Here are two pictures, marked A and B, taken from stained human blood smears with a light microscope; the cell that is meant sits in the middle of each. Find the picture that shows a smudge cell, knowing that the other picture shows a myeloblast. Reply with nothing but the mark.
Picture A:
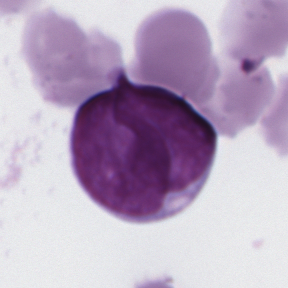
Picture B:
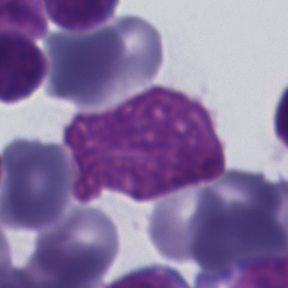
B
